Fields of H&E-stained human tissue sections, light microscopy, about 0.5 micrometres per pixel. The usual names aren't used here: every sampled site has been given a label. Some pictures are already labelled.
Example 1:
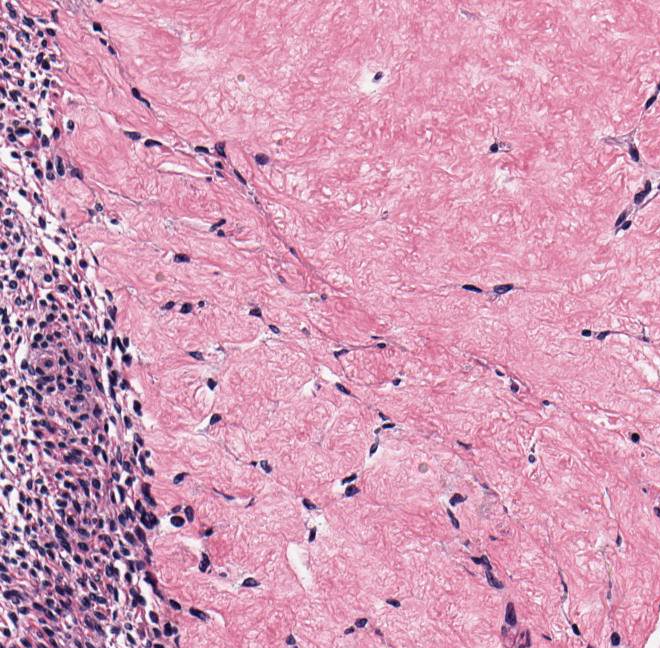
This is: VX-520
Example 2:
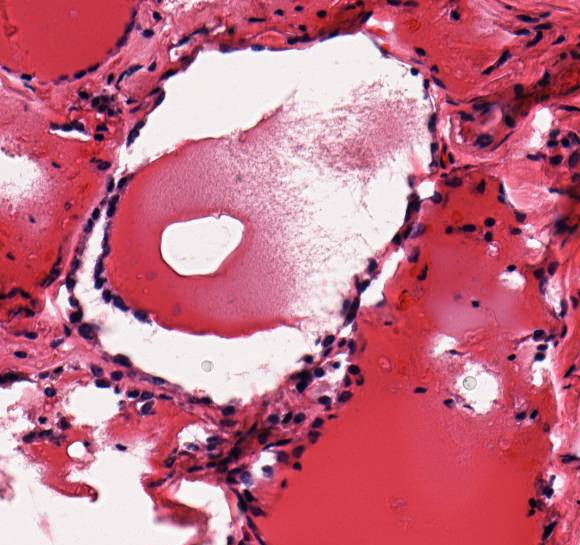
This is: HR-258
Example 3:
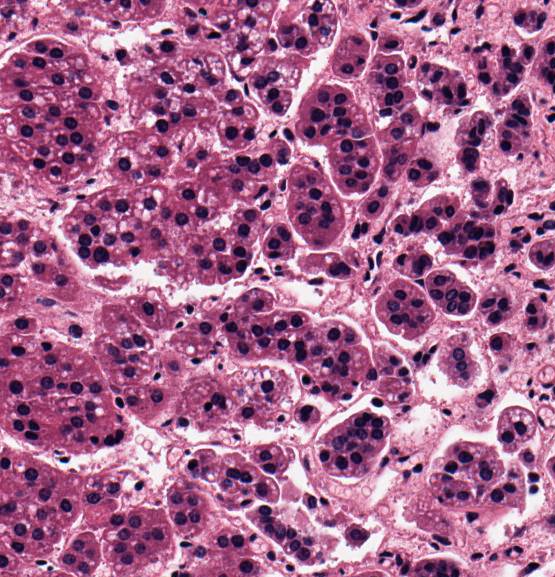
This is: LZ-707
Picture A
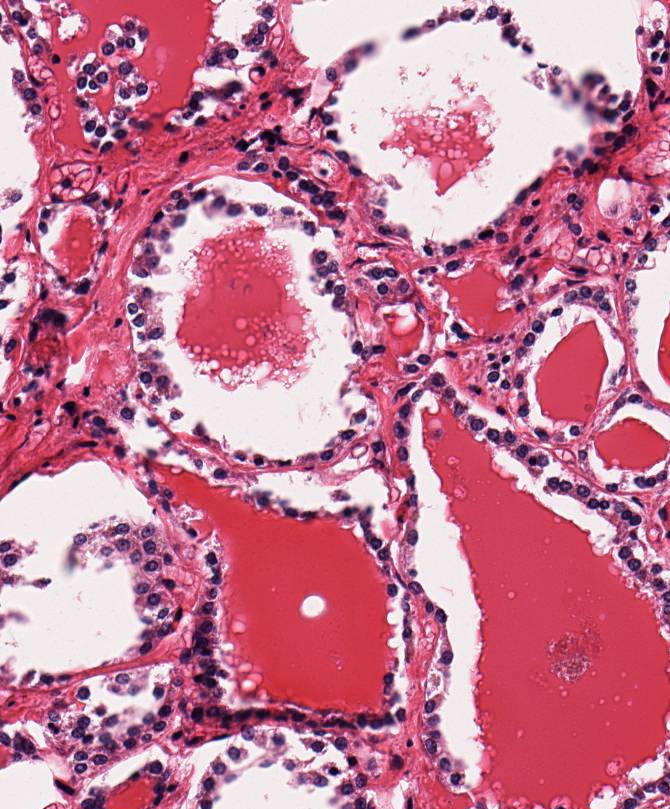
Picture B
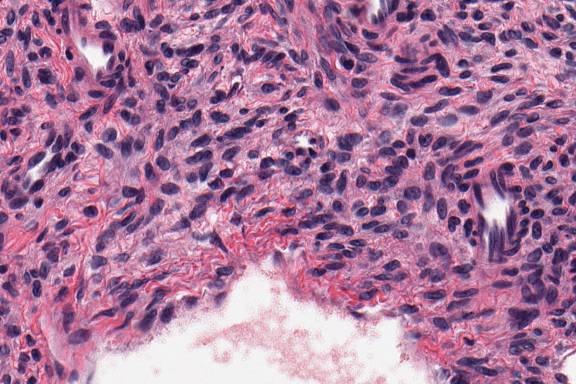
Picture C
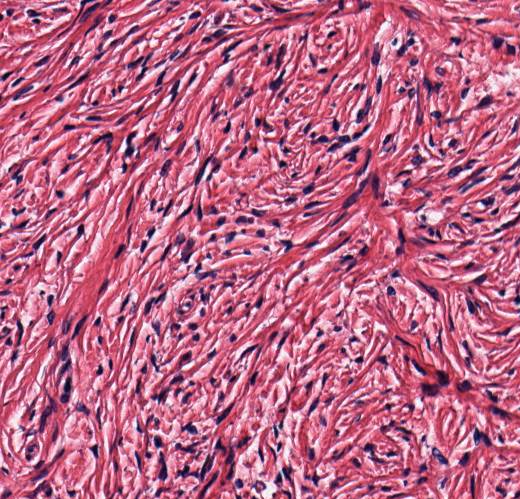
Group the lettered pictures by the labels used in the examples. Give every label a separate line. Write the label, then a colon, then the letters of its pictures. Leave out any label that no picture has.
VX-520: B, C
HR-258: A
